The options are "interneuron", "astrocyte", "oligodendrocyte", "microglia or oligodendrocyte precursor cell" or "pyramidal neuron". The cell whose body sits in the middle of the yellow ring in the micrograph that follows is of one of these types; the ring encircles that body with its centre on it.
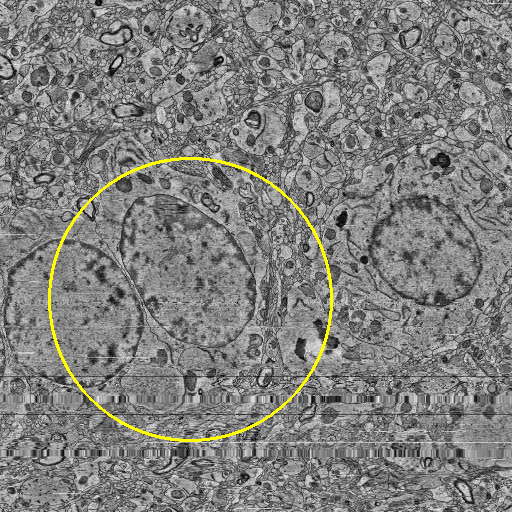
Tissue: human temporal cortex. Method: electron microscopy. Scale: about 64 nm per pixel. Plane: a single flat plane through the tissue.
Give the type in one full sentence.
Going by the micrograph, the cell centred in the yellow ring is an astrocyte.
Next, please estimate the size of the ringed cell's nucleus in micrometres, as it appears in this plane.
Approximately 11 by 8 micrometers in this plane.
